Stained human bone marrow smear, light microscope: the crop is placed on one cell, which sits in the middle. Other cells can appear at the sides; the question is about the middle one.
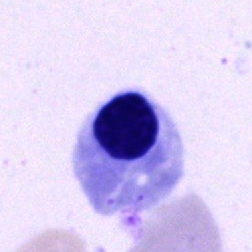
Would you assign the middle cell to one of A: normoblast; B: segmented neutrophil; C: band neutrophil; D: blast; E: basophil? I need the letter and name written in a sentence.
In this crop the central cell is a normoblast, which option A correctly states.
